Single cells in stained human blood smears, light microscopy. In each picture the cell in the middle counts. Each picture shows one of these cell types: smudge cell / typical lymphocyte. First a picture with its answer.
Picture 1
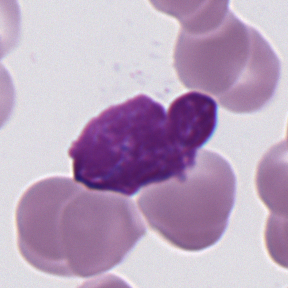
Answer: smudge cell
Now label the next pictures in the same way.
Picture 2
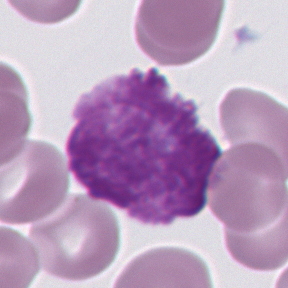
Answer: smudge cell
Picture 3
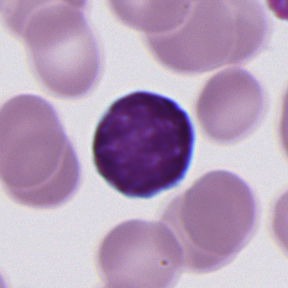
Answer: typical lymphocyte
